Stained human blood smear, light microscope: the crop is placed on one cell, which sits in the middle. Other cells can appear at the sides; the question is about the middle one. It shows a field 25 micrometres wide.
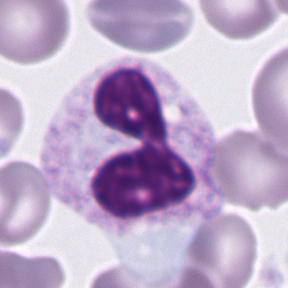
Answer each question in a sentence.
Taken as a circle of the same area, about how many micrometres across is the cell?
The cell is about 15 micrometres across.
